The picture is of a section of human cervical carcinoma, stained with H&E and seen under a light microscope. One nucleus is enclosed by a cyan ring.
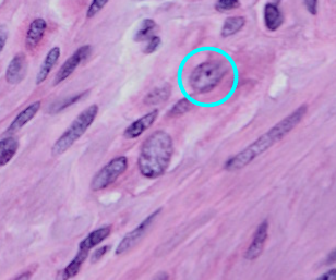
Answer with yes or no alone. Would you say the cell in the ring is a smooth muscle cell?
no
